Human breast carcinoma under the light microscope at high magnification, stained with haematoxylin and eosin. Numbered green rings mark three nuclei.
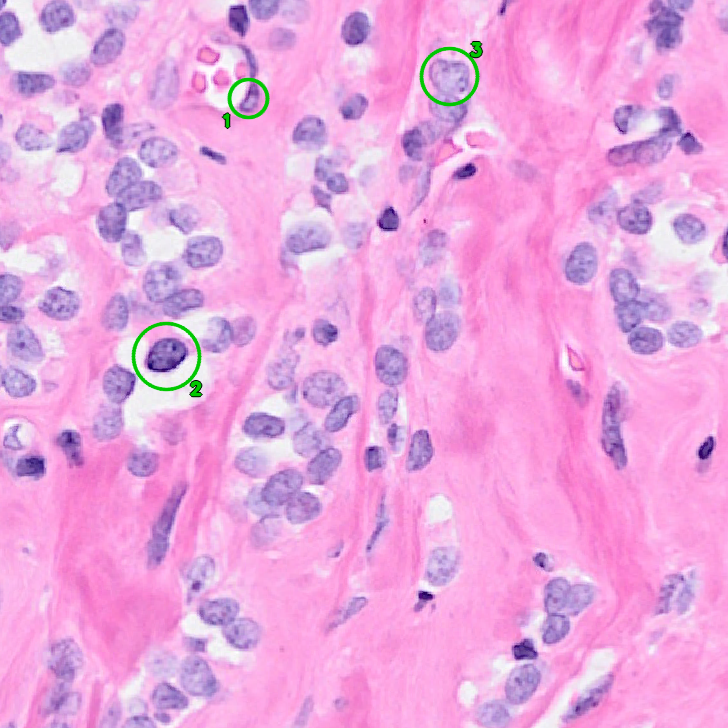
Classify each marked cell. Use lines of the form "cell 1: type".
cell 1: endothelial cell
cell 2: carcinoma cell
cell 3: carcinoma cell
